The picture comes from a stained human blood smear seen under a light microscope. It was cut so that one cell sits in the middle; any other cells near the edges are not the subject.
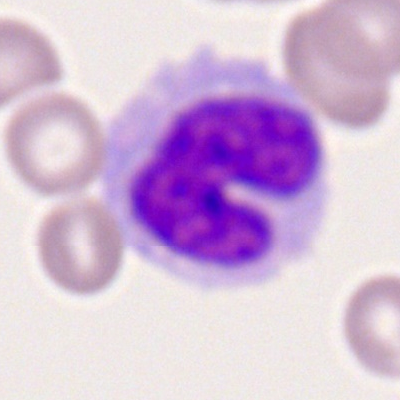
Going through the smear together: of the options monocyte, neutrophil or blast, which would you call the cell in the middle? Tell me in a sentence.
For this crop, the central cell is a monocyte.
